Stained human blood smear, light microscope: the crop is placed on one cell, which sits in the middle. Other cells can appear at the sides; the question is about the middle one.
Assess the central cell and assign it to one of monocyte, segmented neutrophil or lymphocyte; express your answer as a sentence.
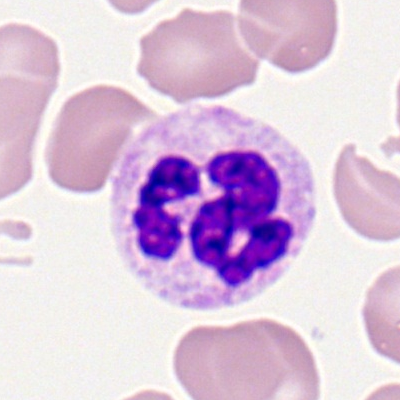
In the middle of this smear crop is a segmented neutrophil.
